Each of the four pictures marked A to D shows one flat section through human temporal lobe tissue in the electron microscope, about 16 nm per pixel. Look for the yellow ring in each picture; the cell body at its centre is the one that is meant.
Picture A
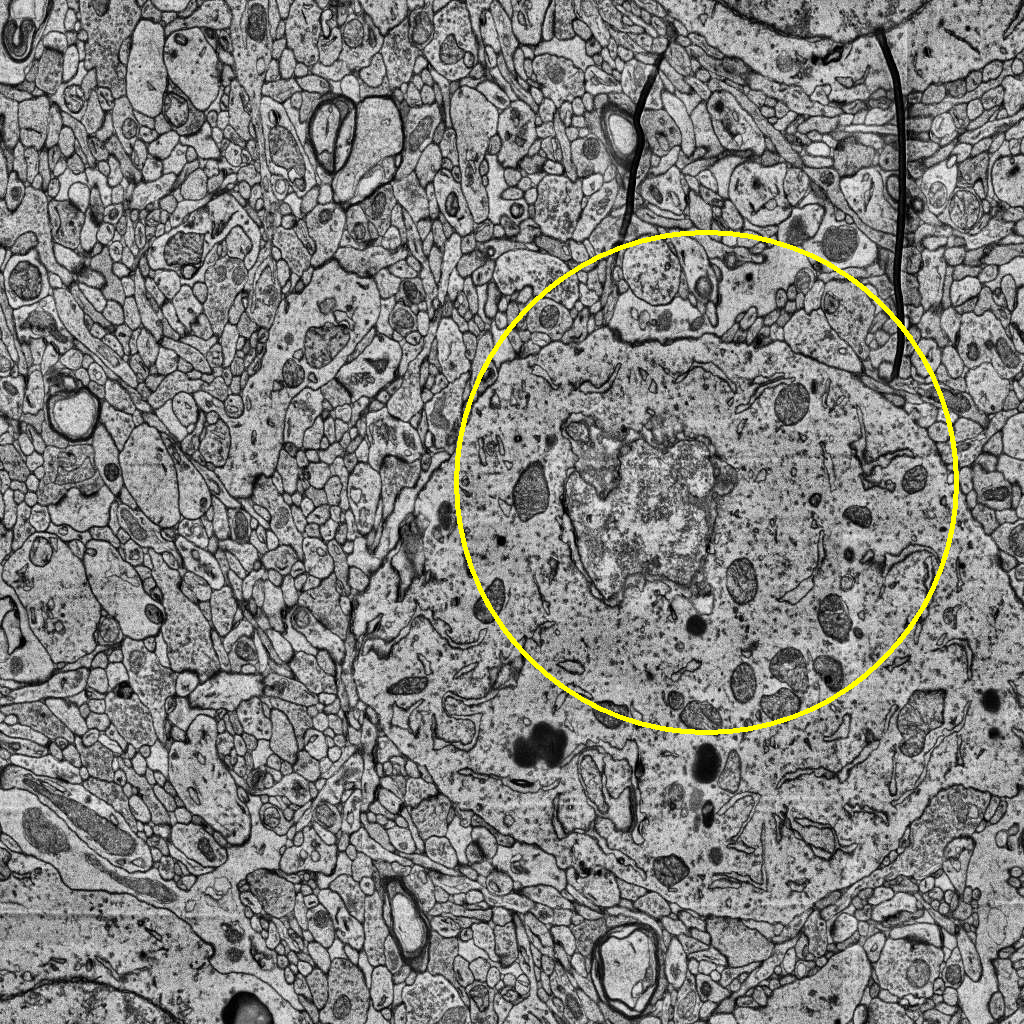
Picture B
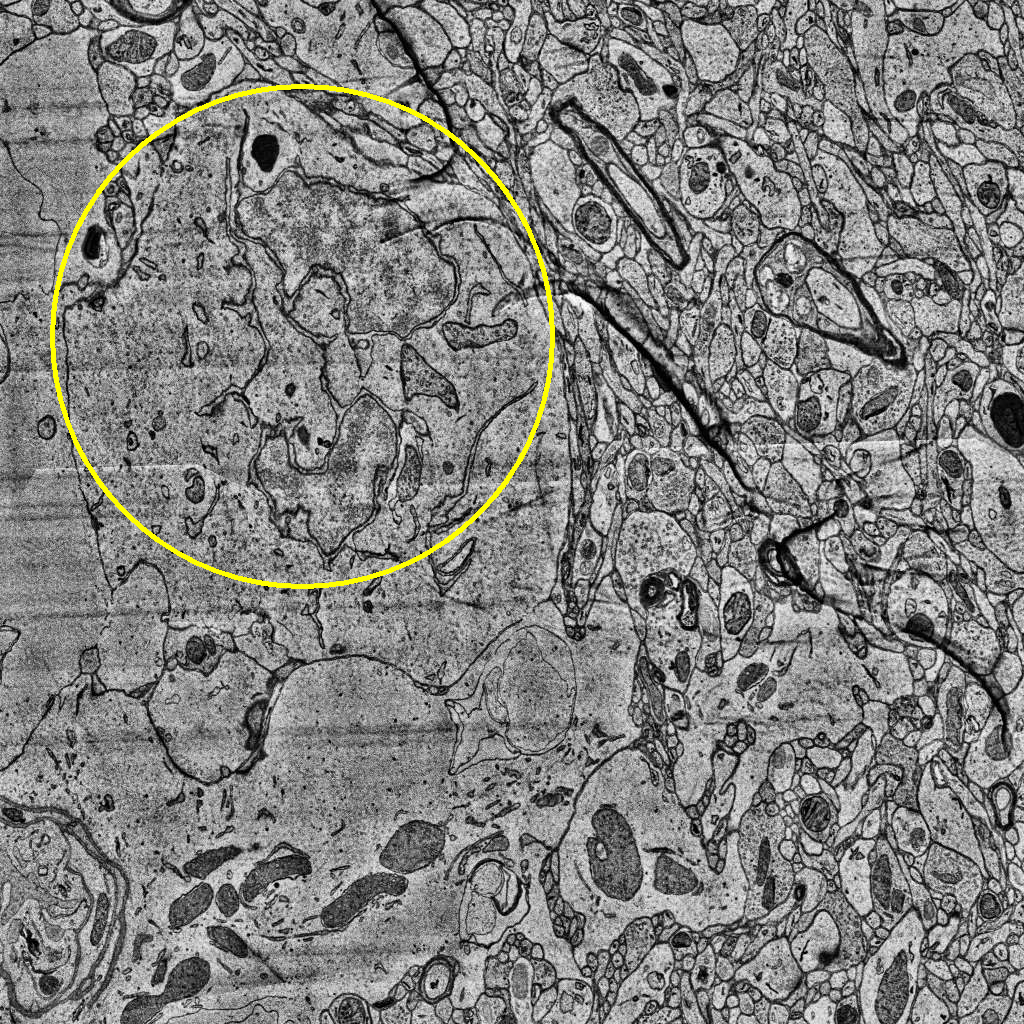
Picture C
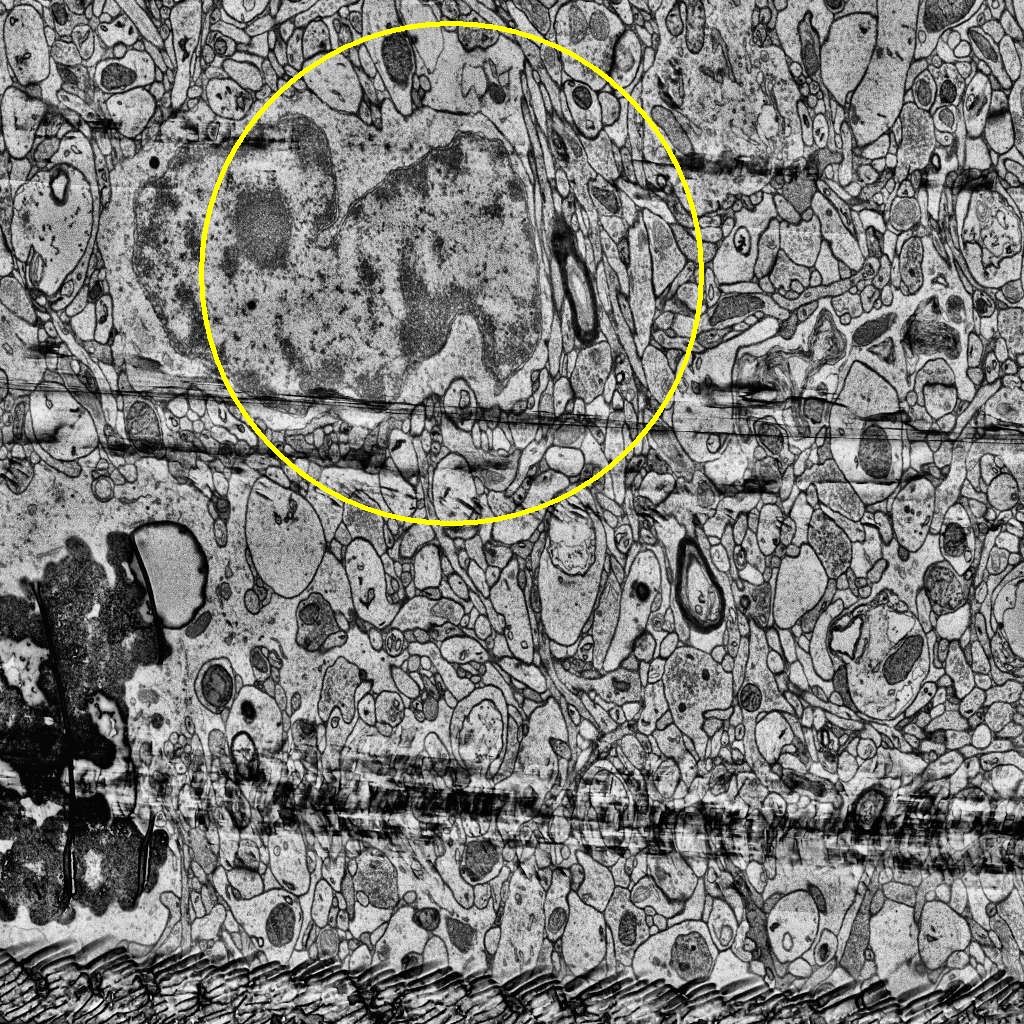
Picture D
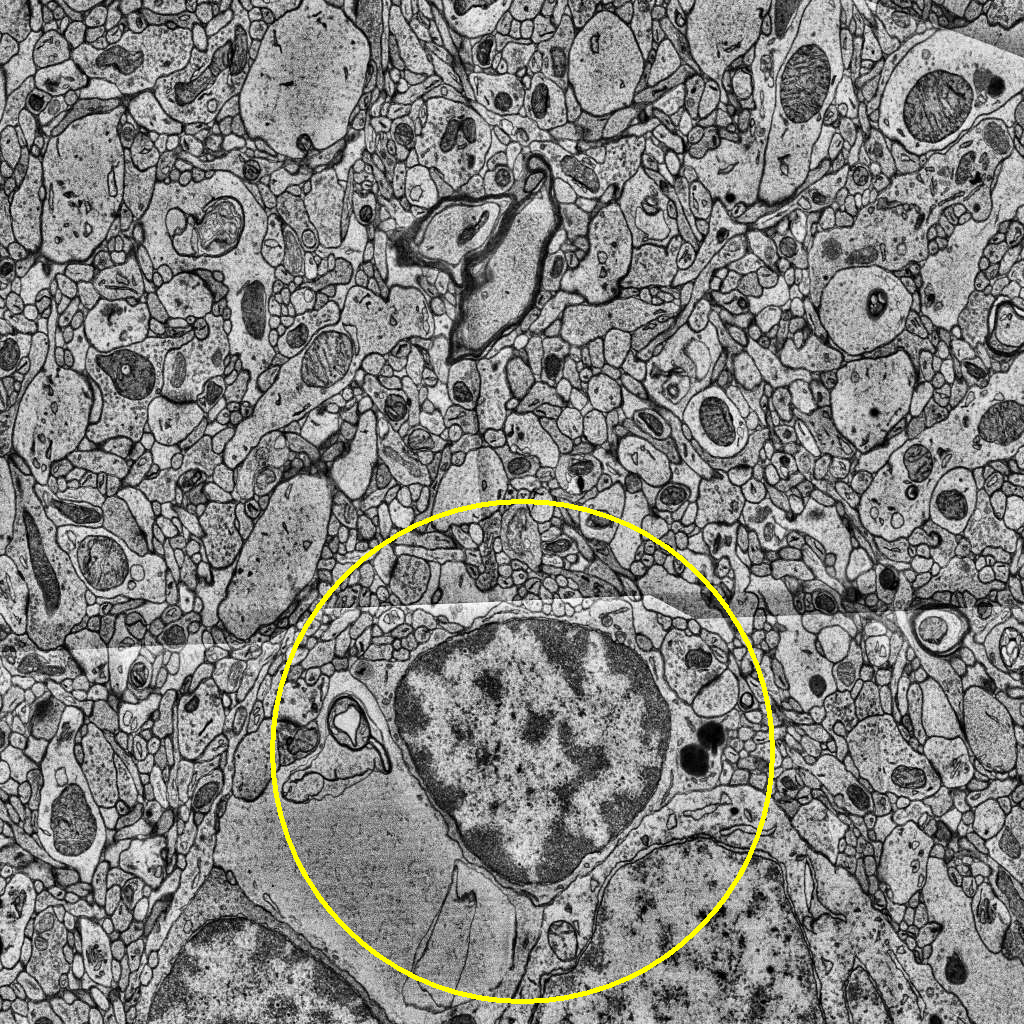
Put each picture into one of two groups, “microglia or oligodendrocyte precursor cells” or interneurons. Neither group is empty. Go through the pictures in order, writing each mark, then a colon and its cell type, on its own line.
A: interneuron
B: interneuron
C: microglia or oligodendrocyte precursor cell
D: microglia or oligodendrocyte precursor cell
